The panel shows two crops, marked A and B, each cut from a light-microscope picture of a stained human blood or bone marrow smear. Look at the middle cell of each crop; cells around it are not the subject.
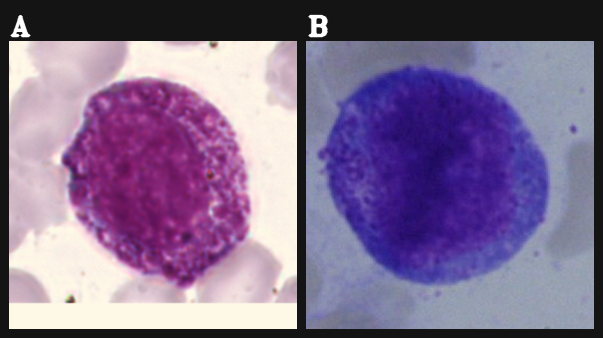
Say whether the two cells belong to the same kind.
yes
